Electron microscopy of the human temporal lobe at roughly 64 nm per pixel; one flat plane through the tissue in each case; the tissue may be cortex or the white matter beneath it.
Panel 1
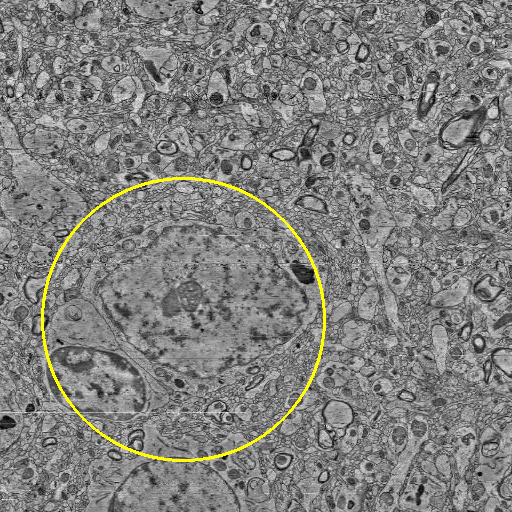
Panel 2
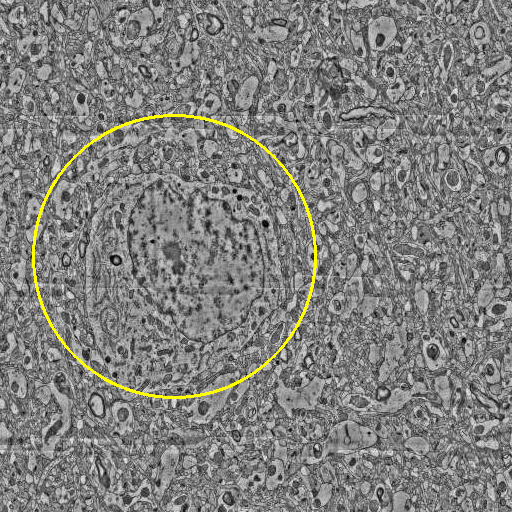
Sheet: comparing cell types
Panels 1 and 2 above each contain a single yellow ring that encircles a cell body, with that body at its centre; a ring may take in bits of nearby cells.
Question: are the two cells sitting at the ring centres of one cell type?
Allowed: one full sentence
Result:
Yes, the ring-centre cells in Panel 1 and Panel 2 are of one type.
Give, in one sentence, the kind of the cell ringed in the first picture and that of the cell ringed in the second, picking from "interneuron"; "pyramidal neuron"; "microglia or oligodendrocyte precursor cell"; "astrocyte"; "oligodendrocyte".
In each picture the ringed cell is an interneuron.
